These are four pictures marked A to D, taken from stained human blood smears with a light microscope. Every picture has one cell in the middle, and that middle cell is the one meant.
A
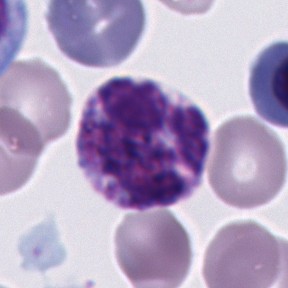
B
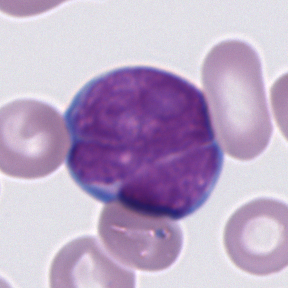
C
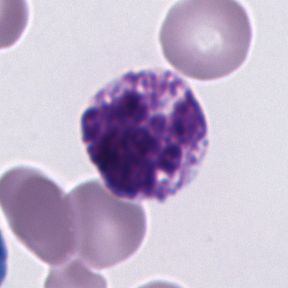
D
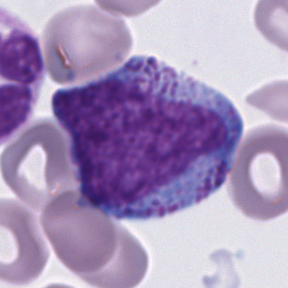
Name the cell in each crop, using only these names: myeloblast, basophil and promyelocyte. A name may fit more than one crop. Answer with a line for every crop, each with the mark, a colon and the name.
A: basophil
B: myeloblast
C: basophil
D: promyelocyte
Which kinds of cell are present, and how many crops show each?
basophil: 2
myeloblast: 1
promyelocyte: 1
